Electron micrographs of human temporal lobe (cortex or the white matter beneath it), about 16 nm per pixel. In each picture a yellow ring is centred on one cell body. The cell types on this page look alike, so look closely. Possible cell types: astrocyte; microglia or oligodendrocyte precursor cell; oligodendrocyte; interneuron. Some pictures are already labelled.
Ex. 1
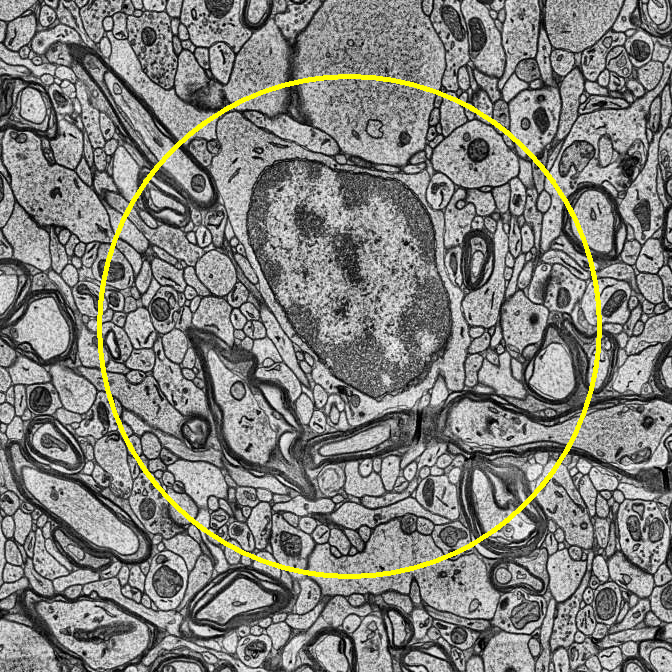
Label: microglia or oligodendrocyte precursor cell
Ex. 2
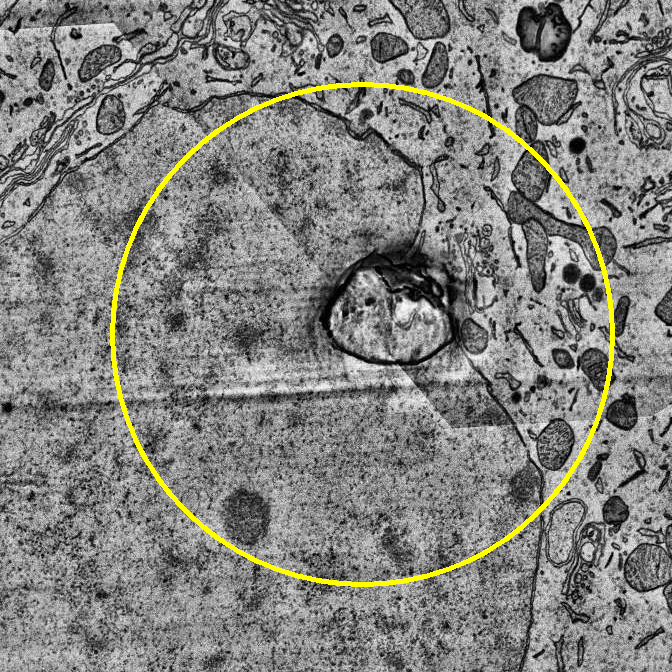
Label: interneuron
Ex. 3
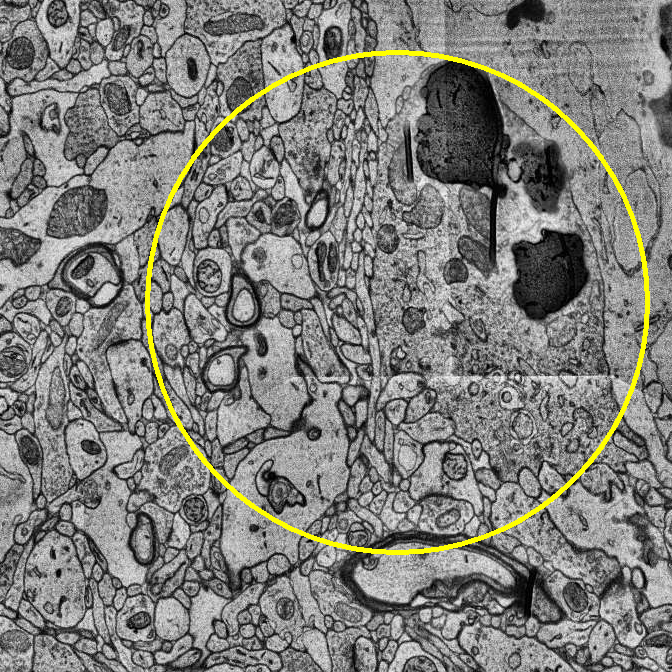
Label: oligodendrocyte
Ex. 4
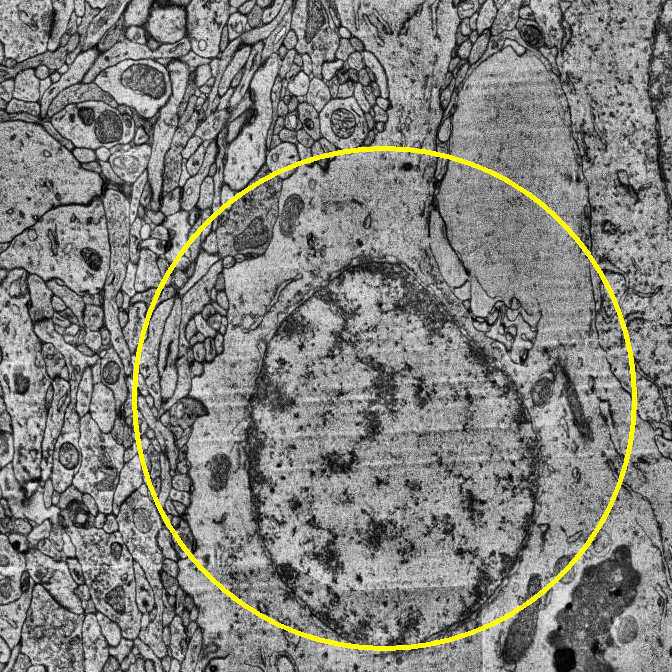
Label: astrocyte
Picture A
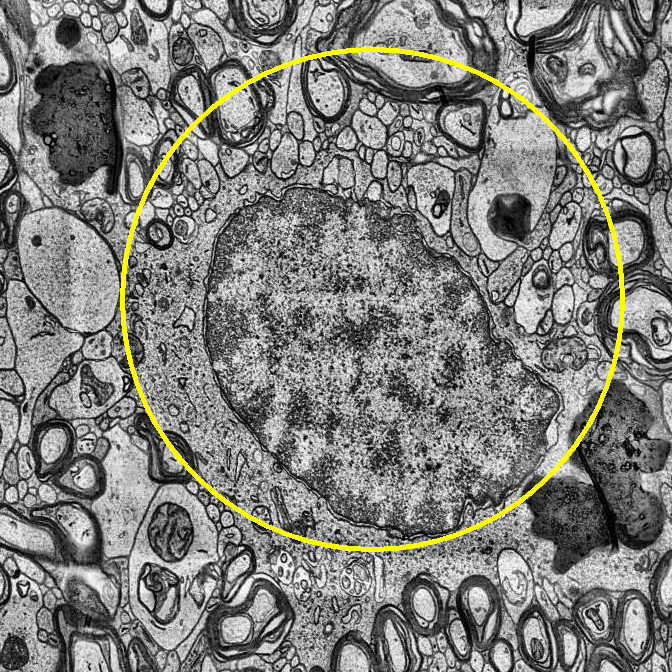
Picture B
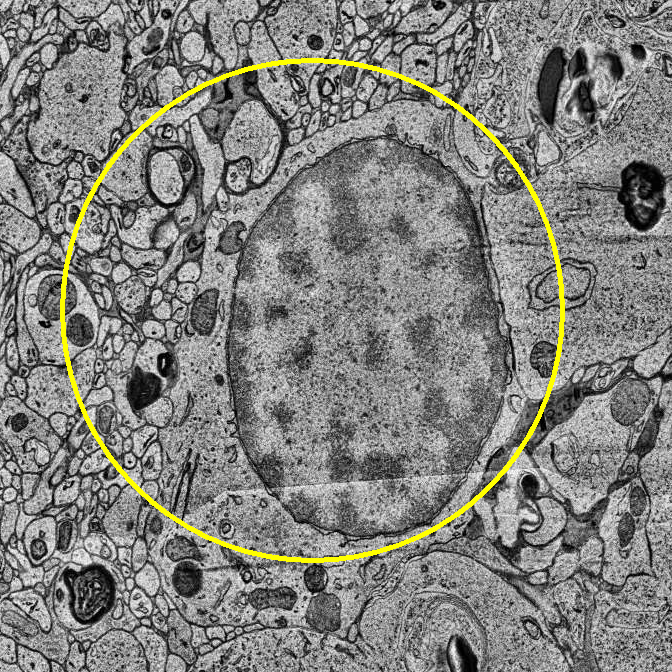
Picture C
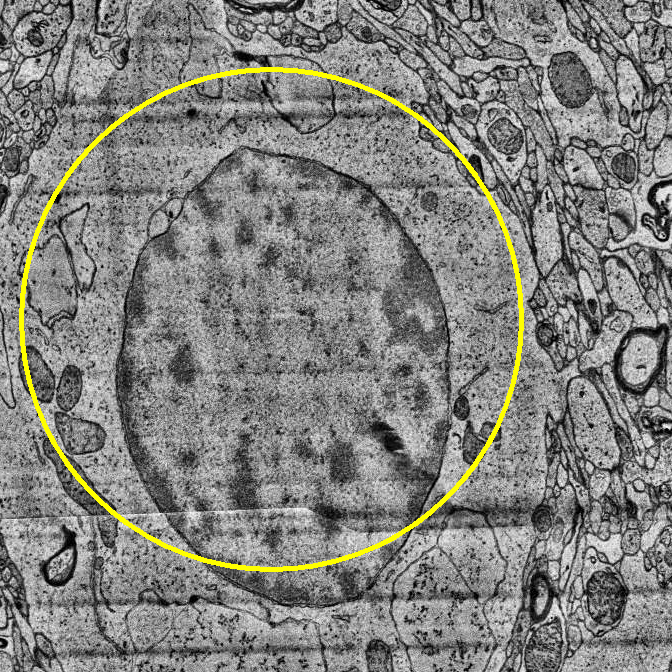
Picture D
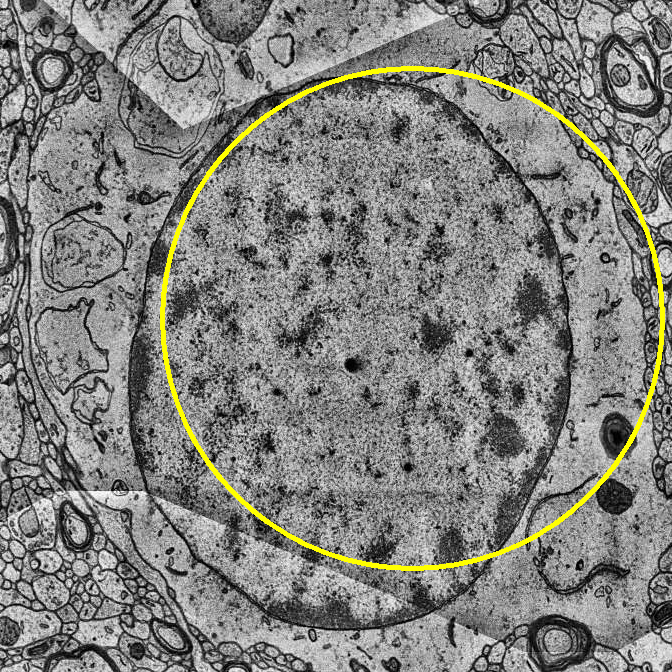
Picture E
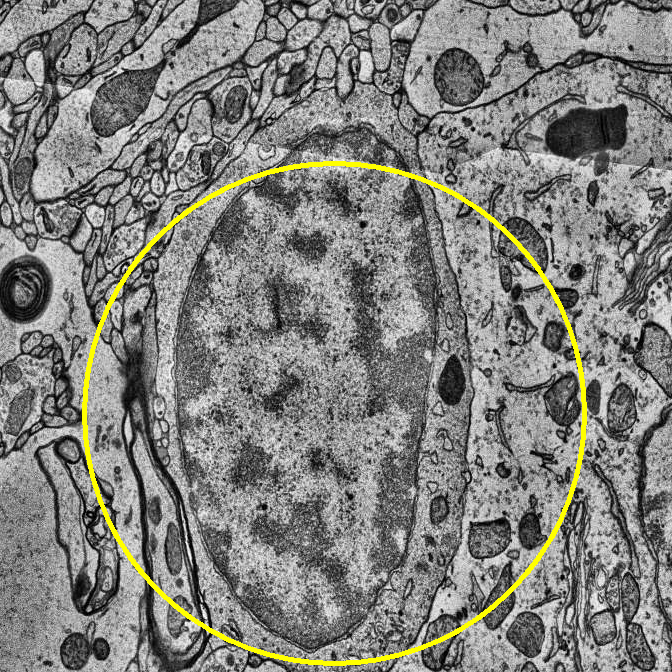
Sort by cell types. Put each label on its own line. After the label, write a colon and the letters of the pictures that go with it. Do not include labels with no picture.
astrocyte: C, D
oligodendrocyte: A, B, E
